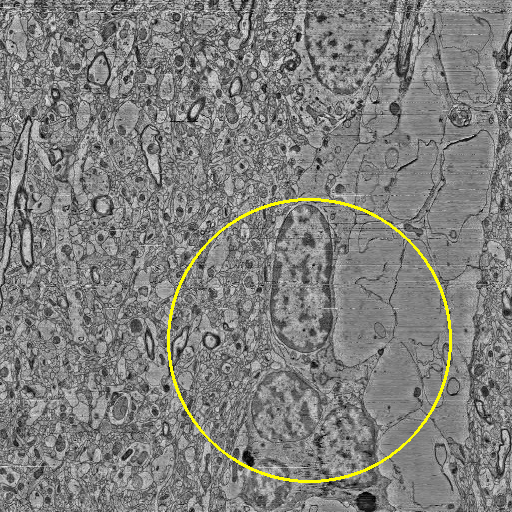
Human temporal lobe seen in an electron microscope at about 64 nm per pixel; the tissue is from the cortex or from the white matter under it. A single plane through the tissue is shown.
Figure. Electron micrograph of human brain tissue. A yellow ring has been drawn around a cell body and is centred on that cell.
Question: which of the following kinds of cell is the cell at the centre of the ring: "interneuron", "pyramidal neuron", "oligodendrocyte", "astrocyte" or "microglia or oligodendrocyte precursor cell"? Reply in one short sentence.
The cell at the centre of the ring is a microglial cell or oligodendrocyte precursor cell.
